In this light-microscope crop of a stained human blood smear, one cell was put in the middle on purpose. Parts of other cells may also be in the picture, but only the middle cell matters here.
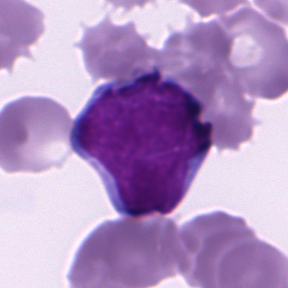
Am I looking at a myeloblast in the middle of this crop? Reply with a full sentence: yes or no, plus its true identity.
Yes, the cell here in the middle is a myeloblast.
